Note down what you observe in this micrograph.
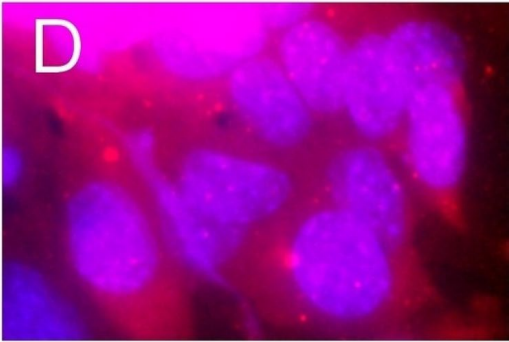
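This is a crowded field of cultured cells with their oval nuclei shown in blue, lying close together. Almost the whole field is flooded by a strong diffuse red glow, so that the nuclei look pinkish-violet where red and blue overlap. The red is brightest in a broad band at the top edge of the field and fills the spaces around and between the nuclei. A few brighter red dots are scattered among the cells.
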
